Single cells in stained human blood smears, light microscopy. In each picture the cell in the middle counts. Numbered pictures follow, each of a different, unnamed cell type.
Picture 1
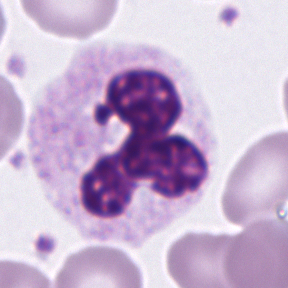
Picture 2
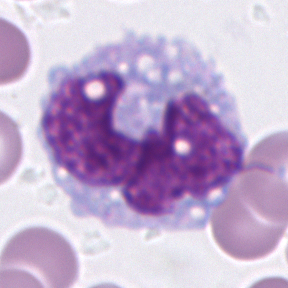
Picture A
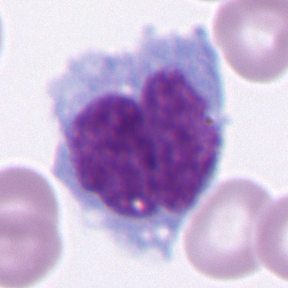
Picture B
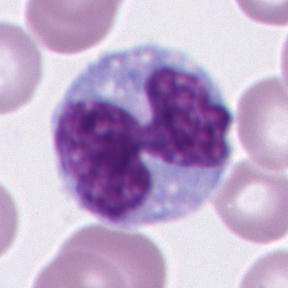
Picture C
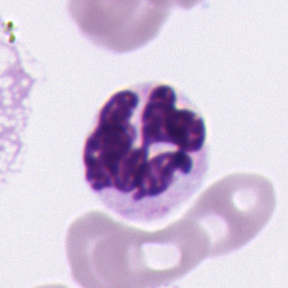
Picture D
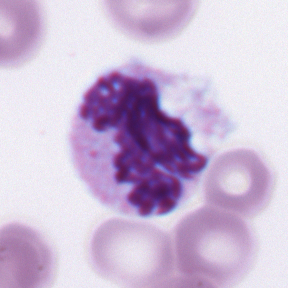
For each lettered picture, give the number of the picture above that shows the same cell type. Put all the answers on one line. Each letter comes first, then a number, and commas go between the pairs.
A 2, B 2, C 1, D 1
